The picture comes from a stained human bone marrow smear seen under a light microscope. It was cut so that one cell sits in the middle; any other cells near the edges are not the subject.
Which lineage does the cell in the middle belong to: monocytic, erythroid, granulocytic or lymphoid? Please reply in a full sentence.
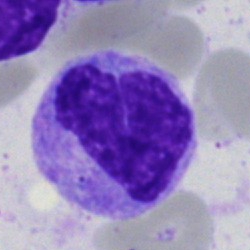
Lineage of the cell at the center of this crop: monocytic.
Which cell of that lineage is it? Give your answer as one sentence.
In the center of this field lies a monocyte.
